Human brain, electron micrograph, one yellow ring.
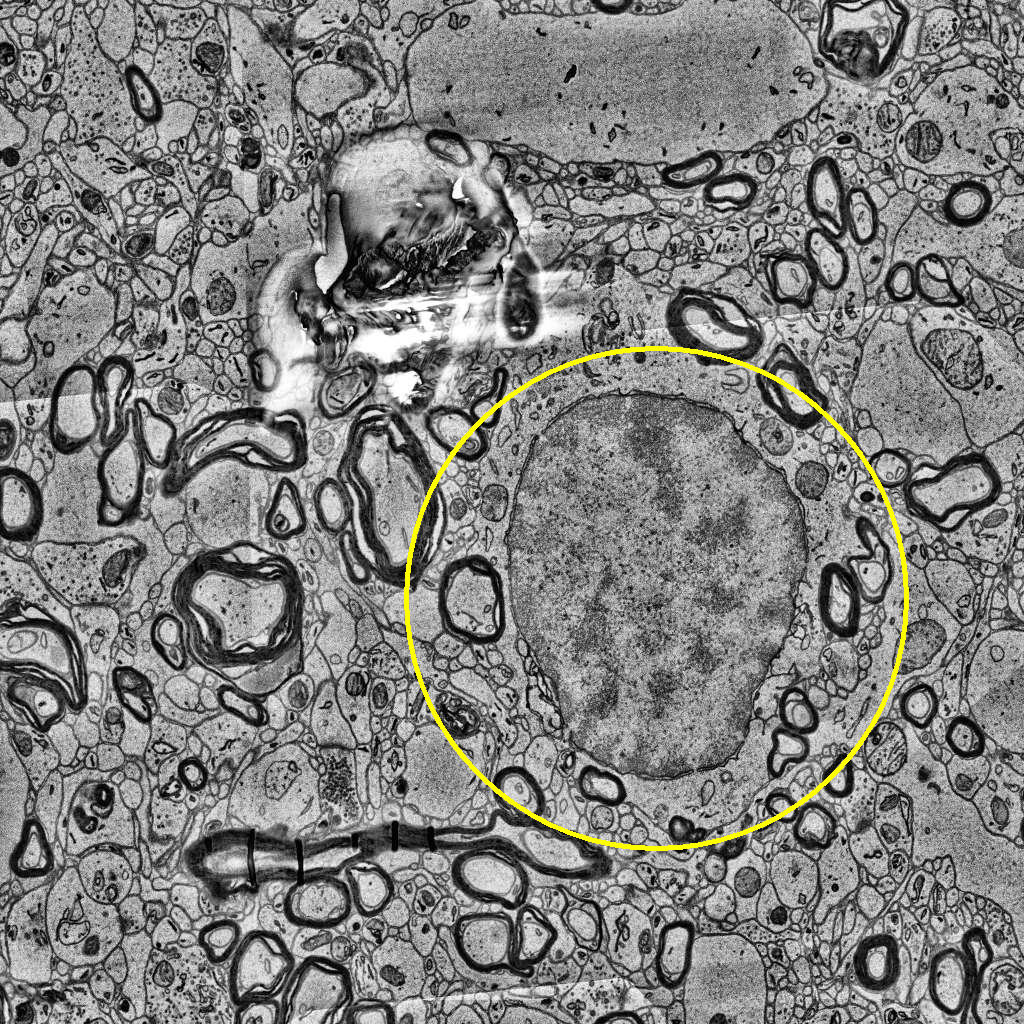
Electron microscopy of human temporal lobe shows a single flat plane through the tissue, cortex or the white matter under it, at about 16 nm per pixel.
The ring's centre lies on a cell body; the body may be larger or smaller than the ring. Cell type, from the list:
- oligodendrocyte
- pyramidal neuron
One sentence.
The yellow ring's centre lies on an oligodendrocyte.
